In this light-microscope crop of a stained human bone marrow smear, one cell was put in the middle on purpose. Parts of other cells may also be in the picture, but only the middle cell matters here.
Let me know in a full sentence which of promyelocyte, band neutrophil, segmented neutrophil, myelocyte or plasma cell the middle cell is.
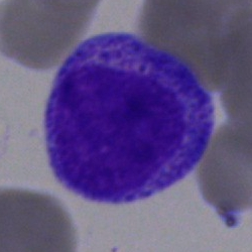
The cell the crop is centered on is a promyelocyte.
